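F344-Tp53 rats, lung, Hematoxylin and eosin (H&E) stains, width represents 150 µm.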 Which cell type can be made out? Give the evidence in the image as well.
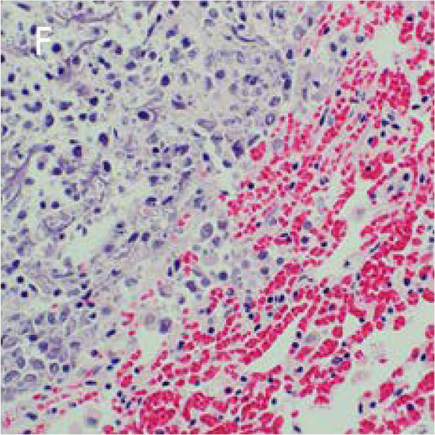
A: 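Pleomorphic polygonal cells and spindle-shaped neoplastic cells. Cells with variably sized dark nuclei, some angular and polygonal, some elongated. The cells form a crowded sheet at the upper left beside a field of red blood cells.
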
